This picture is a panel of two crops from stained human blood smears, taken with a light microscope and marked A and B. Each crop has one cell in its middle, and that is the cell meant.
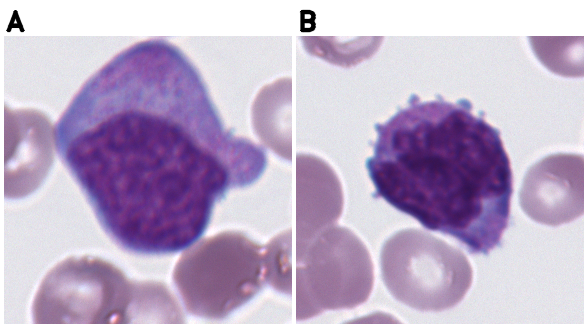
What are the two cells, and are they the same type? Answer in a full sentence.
Yes, the cells under consideration in both crops are atypical promyelocytes.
